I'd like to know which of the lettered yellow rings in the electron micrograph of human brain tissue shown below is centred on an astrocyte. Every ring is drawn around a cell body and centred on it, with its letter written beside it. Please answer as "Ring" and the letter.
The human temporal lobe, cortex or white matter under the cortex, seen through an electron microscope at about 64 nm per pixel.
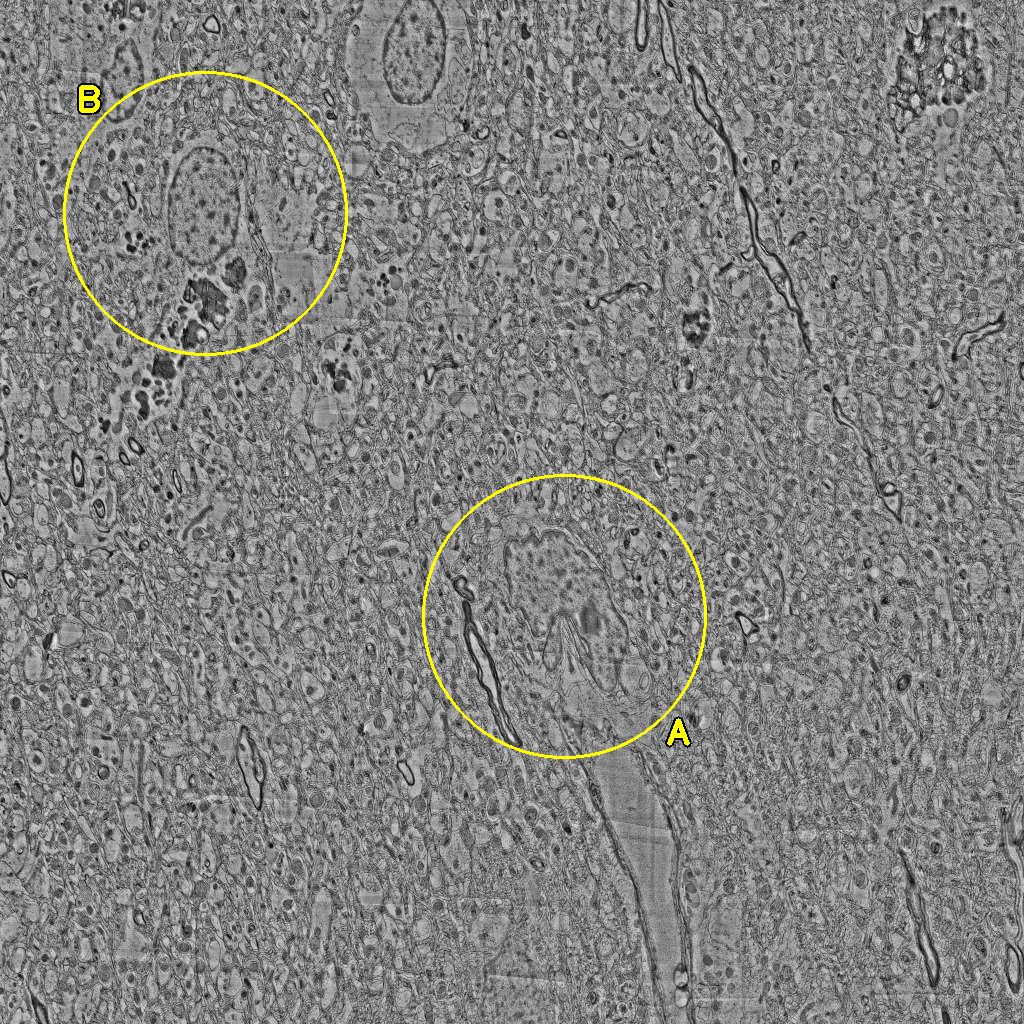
Ring B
